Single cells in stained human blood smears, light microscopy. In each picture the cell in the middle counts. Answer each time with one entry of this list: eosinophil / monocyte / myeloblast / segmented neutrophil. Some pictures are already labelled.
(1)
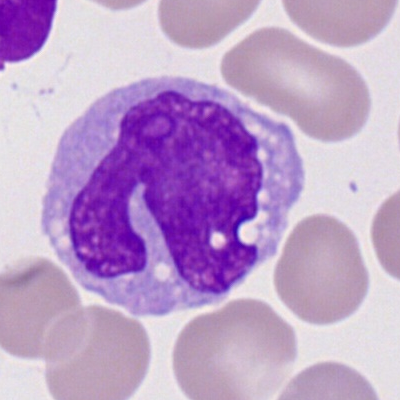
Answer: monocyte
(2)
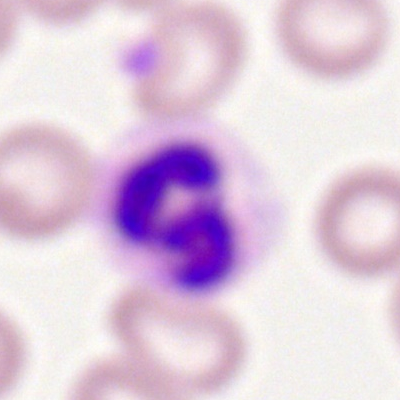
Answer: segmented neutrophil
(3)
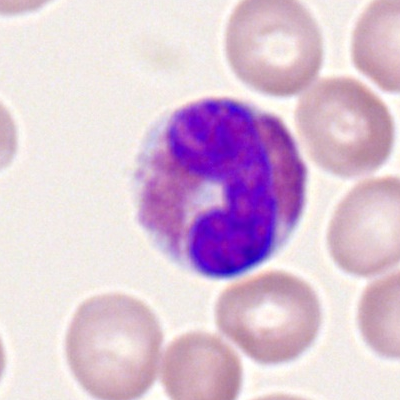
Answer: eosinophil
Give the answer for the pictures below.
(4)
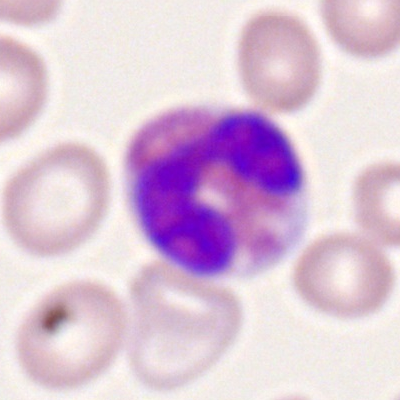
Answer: eosinophil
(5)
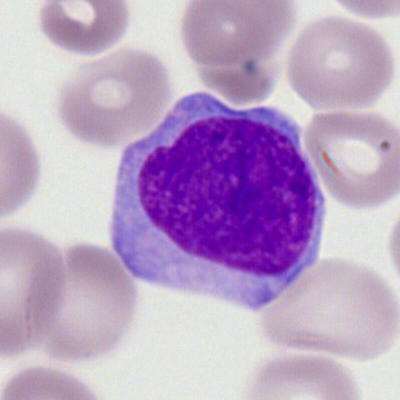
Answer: myeloblast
